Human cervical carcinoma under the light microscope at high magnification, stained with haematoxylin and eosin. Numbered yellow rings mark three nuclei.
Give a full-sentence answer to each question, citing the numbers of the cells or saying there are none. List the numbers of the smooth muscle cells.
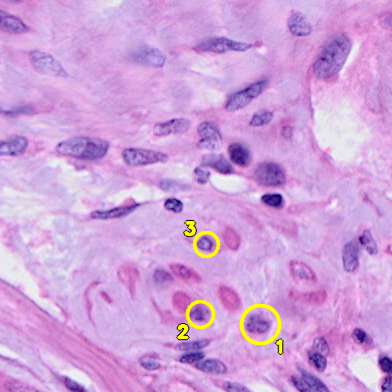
The cells tagged with numbers 2 and 3 are smooth muscle cells.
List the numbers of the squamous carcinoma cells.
The numbered cells, every one of them, are not squamous carcinoma cells.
